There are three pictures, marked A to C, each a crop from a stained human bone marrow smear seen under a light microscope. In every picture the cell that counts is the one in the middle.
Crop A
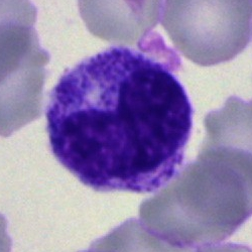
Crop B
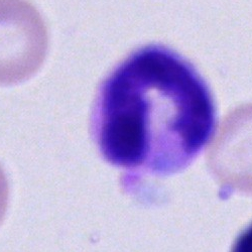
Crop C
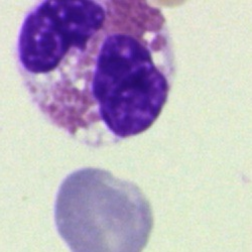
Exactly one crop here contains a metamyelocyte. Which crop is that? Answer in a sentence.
Within this set, crop A is the one with a metamyelocyte at its center.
